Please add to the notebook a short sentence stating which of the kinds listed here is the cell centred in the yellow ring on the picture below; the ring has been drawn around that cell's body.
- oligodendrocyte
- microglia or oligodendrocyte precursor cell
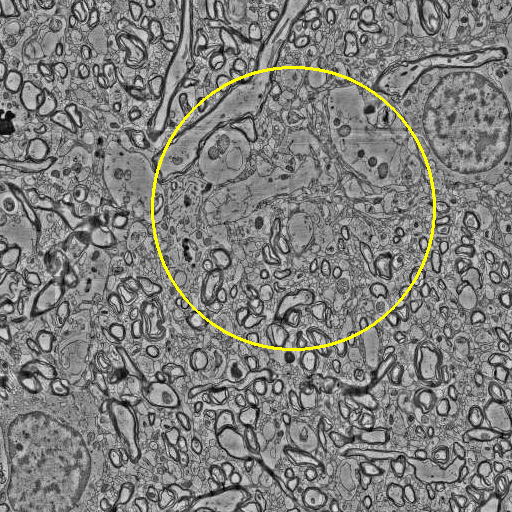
The cell centred in the yellow ring is a microglial cell or oligodendrocyte precursor cell.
